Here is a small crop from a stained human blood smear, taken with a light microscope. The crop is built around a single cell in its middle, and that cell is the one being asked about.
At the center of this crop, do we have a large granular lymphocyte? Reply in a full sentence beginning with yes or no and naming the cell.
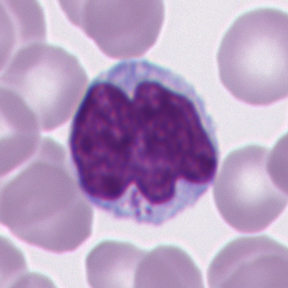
Yes, the cell at the heart of the crop is a large granular lymphocyte.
